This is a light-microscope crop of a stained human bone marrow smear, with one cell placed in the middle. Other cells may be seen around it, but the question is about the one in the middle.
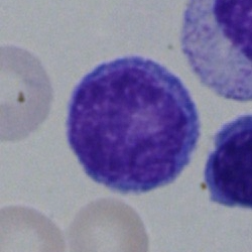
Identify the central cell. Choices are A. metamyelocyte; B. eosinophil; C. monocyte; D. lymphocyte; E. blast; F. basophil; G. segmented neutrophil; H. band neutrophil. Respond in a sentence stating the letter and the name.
Since the cell in the middle is a blast, option E is correct.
